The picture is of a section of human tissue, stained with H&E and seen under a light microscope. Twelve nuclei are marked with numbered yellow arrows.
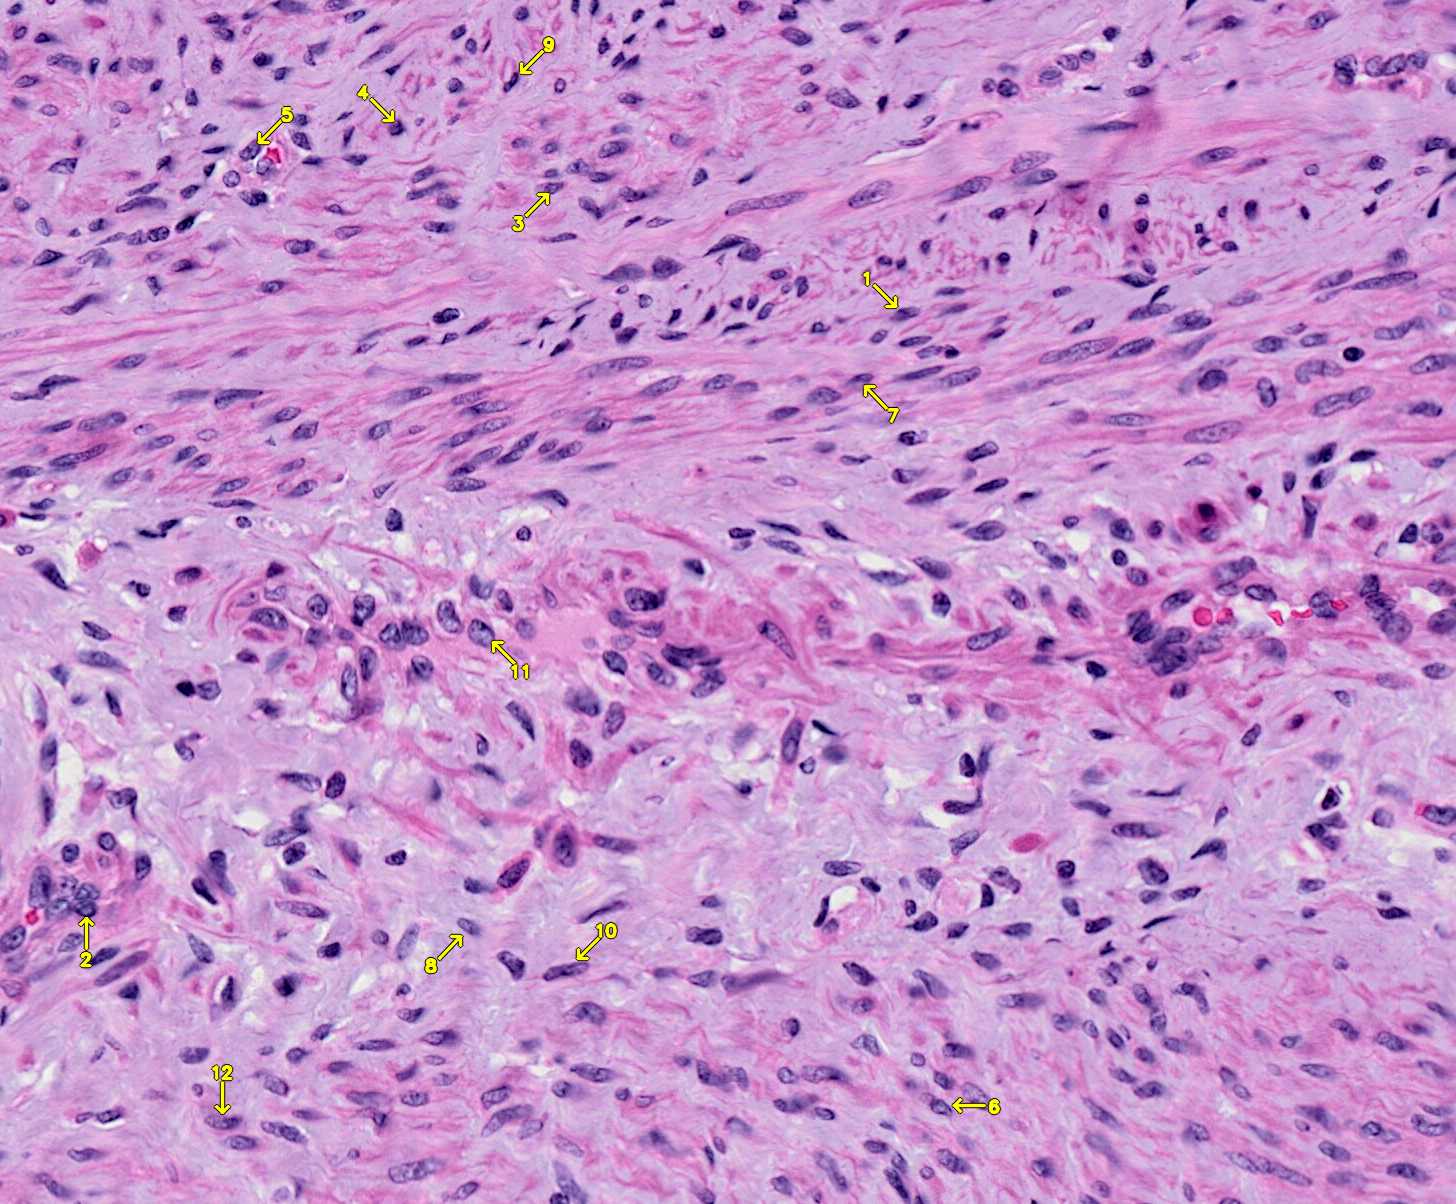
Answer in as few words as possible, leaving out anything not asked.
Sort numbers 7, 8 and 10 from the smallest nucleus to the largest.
7, 8, 10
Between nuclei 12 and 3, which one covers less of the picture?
3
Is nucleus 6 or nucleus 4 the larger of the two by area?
6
